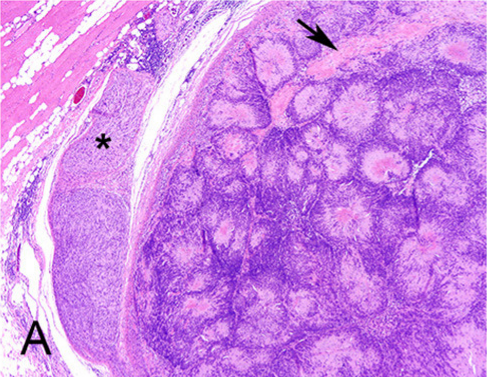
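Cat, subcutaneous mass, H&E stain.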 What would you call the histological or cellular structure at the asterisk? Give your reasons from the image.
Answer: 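The asterisk lies in an elongated pink bundle beside the mass, outside its capsule. The bundle has wavy spindle-cell texture with a thin surrounding sheath.
Conclusion: peripheral nerve fascicles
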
